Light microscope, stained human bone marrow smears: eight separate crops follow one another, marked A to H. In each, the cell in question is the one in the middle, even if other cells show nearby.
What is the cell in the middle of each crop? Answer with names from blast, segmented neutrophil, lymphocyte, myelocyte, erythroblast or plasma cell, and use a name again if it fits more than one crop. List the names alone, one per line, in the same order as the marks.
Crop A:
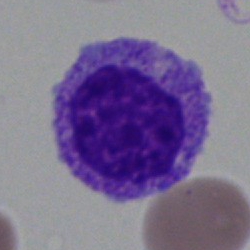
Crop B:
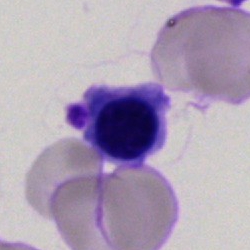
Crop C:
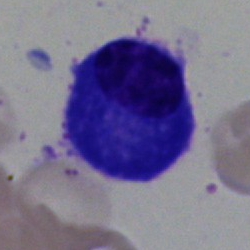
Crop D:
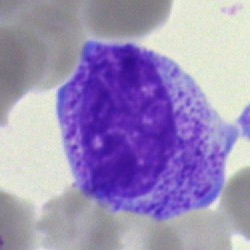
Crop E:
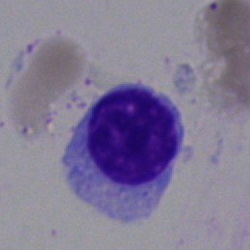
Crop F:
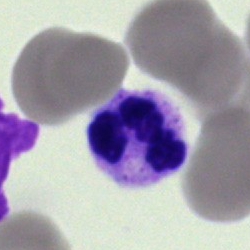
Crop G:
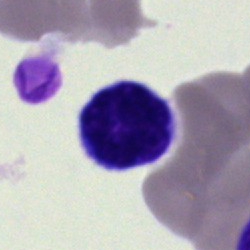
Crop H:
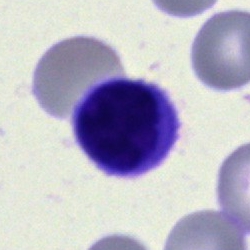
myelocyte
erythroblast
plasma cell
myelocyte
erythroblast
segmented neutrophil
lymphocyte
lymphocyte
